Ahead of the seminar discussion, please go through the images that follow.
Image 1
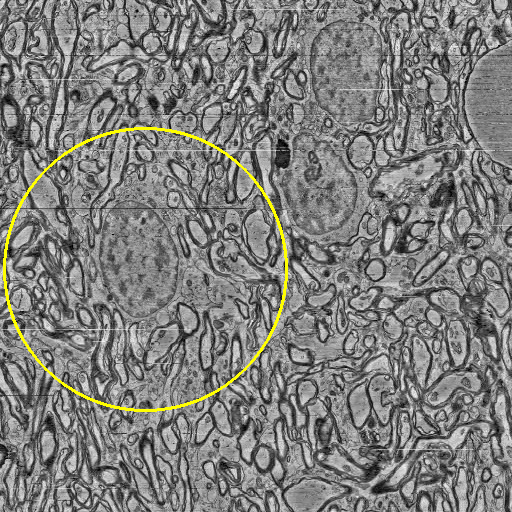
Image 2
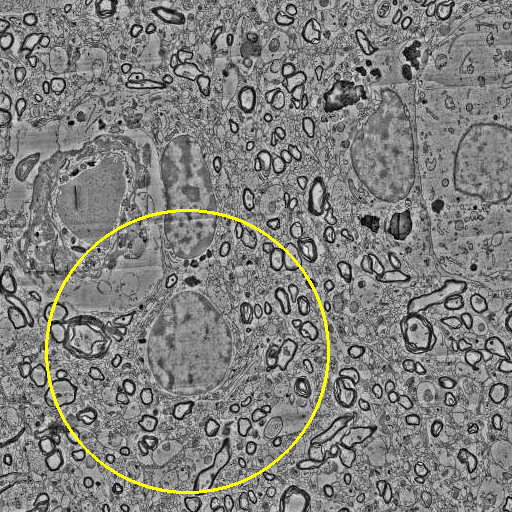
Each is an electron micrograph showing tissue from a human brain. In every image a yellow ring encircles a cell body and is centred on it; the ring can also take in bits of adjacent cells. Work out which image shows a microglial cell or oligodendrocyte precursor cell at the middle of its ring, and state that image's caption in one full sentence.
In Image 2, the ring's centre holds the cell you are looking for.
